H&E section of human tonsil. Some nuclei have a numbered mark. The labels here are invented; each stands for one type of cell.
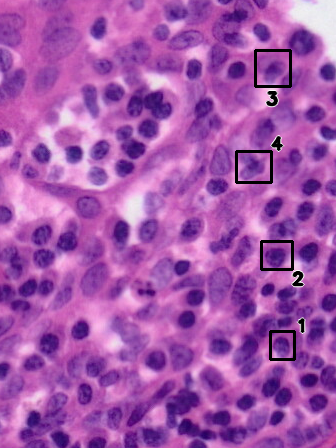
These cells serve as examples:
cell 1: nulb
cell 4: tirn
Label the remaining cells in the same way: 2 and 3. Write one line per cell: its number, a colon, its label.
2: nulb
3: tirn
